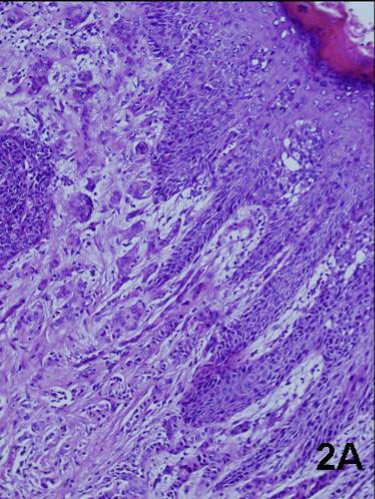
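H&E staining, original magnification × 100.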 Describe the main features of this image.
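The squamous epithelium, capped by a pink keratin layer at the upper right, sends long ridges down into the dermis. Scattered among the keratinocytes are larger cells with pale, clear cytoplasm, lying singly or in small clusters. Nests of dark, crowded cells lie at the left and along the ridges. The dermis between them is loose and pale pink.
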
